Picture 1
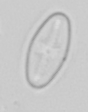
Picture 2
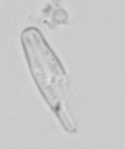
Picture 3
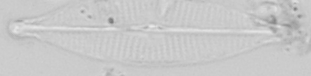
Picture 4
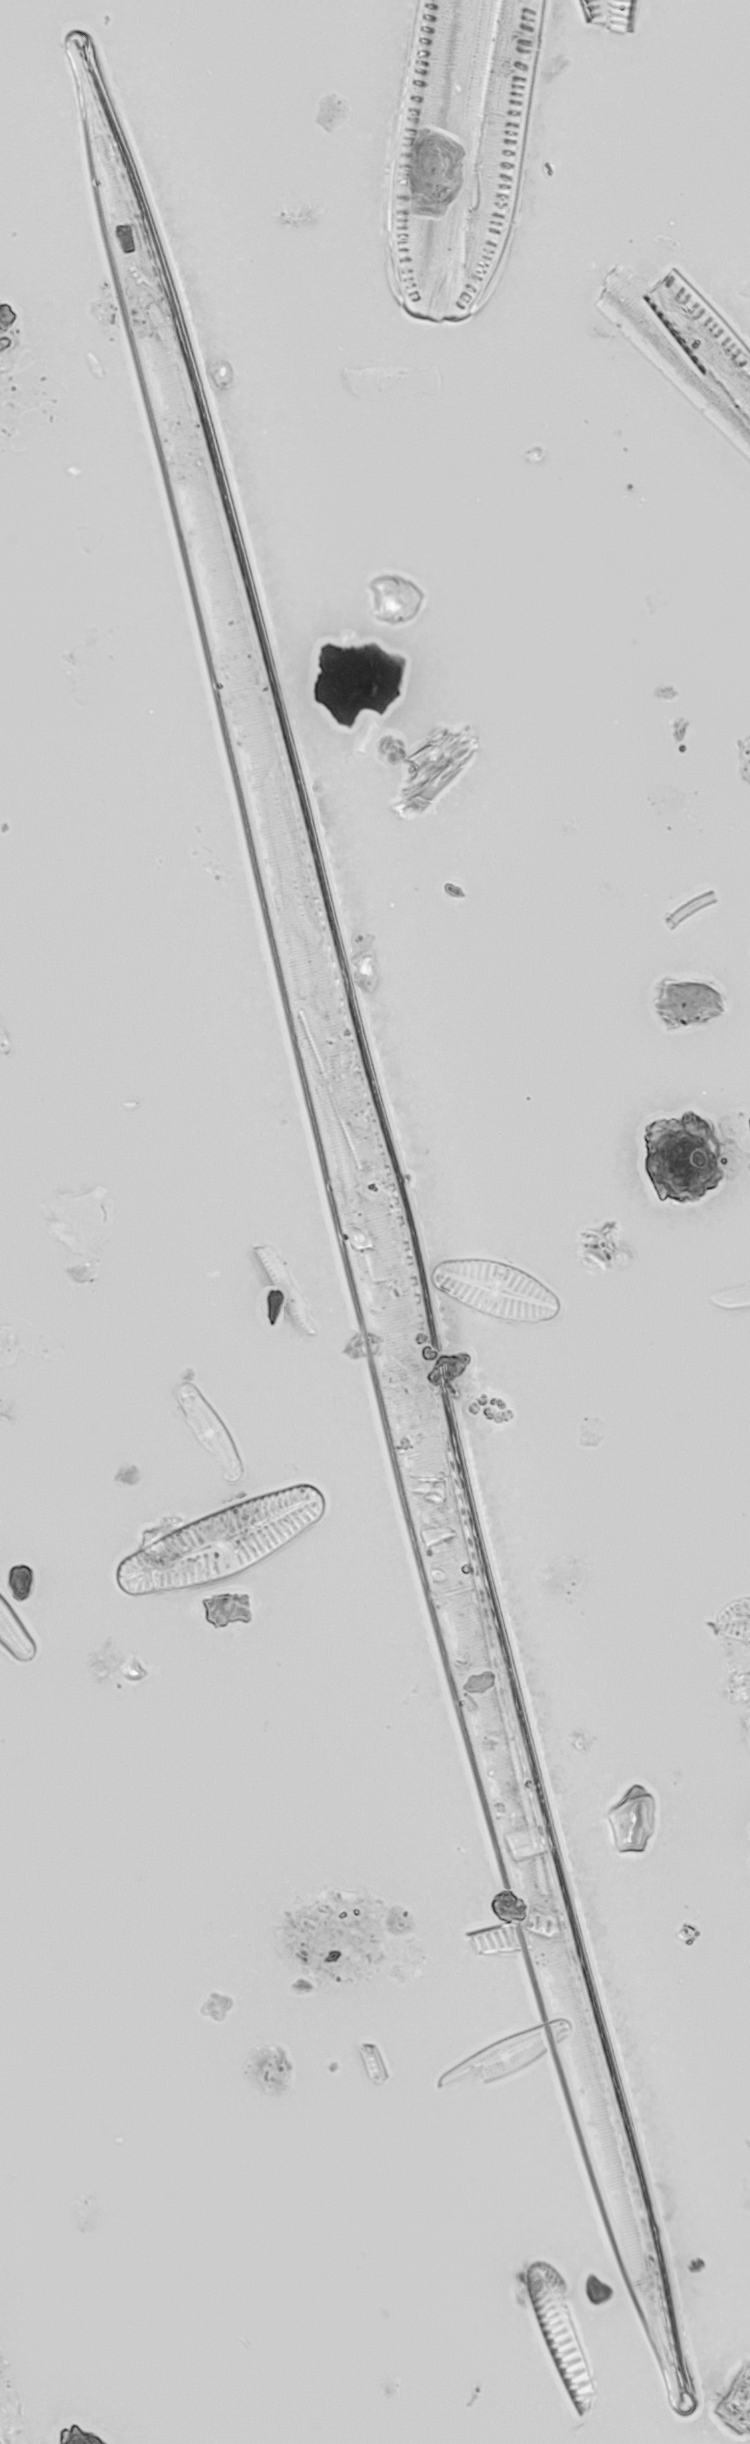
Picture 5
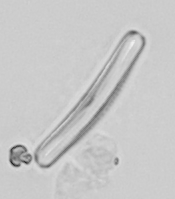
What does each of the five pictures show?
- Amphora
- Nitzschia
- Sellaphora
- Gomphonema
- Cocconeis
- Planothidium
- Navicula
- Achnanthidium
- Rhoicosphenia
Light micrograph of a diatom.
Picture 1: Sellaphora
Picture 2: Achnanthidium
Picture 3: Navicula
Picture 4: Nitzschia
Picture 5: Achnanthidium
